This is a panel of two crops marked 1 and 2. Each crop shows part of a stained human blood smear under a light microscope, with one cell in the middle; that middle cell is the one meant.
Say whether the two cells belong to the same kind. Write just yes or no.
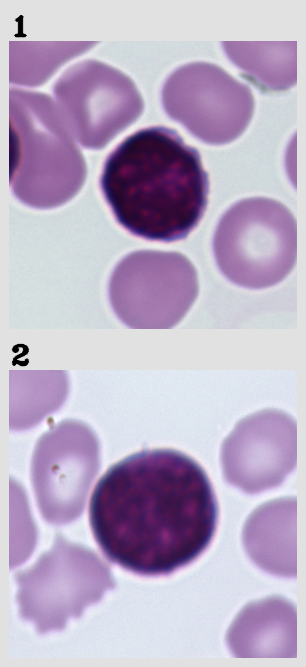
no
